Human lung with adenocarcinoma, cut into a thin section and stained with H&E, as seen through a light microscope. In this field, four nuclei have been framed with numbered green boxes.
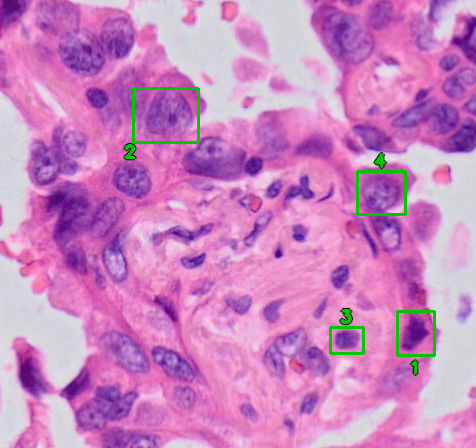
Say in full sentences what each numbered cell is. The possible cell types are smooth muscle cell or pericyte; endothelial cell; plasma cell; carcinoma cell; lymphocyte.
Cells 1, 2 and 4 are carcinoma cells. Cell 3 is a lymphocyte.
